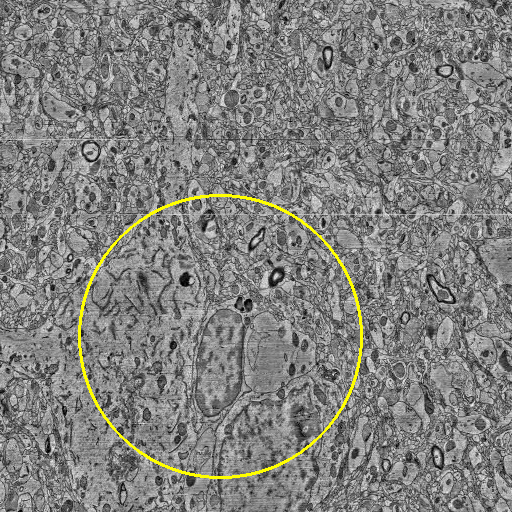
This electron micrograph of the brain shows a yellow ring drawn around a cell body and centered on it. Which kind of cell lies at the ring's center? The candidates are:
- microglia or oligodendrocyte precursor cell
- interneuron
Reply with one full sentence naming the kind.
The cell lying at the ring's center in this micrograph is a microglial cell or oligodendrocyte precursor cell.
